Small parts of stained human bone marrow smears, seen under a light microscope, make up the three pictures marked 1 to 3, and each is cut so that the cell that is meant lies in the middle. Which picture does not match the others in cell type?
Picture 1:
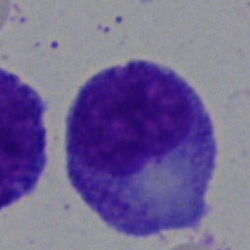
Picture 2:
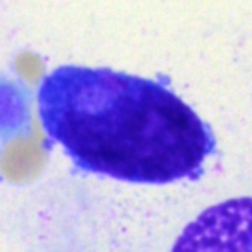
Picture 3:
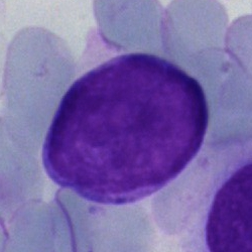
3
